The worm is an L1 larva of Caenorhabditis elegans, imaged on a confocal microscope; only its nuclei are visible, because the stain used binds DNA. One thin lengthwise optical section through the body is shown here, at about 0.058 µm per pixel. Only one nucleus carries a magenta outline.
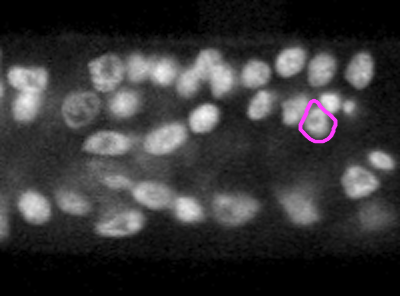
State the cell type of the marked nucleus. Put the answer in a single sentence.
The marked nucleus belongs to a pharyngeal muscle cell.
